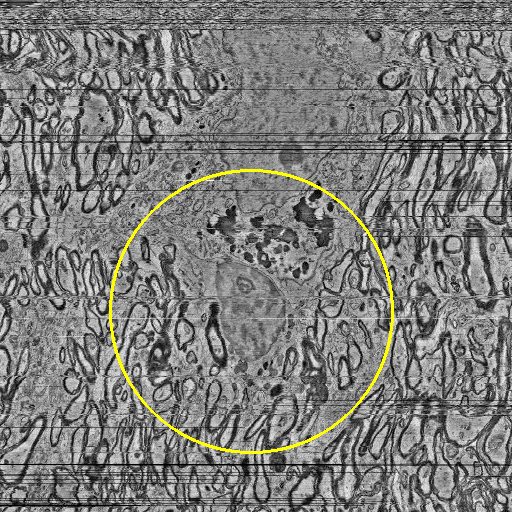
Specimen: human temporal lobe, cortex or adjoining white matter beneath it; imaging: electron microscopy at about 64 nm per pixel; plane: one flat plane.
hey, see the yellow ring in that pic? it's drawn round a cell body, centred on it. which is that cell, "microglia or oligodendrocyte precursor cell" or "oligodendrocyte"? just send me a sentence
The cell in the ring is an oligodendrocyte.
